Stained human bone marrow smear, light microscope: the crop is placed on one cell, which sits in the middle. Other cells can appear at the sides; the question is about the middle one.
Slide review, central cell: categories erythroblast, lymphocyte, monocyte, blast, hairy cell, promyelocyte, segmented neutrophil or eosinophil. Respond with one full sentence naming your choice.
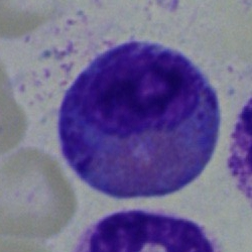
By type, the central cell of the crop is an eosinophil.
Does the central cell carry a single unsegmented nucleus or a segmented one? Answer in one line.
A single compact nucleus, round, oval or kidney-shaped, is what this cell shows.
